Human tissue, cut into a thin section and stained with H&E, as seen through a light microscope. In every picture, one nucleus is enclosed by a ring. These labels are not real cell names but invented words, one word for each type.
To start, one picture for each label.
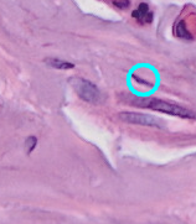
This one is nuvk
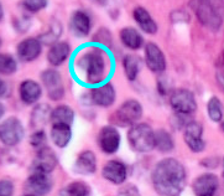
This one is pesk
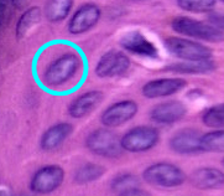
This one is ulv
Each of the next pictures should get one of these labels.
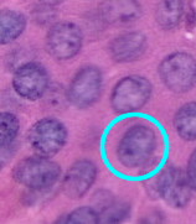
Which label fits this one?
ulv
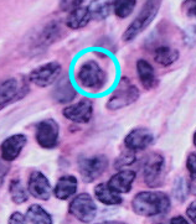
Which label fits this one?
pesk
